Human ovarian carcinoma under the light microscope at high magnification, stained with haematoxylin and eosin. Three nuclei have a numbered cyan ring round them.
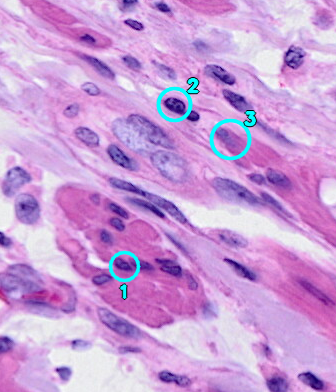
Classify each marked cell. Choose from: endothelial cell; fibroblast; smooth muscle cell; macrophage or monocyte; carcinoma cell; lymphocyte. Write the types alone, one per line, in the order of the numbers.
smooth muscle cell
lymphocyte
smooth muscle cell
